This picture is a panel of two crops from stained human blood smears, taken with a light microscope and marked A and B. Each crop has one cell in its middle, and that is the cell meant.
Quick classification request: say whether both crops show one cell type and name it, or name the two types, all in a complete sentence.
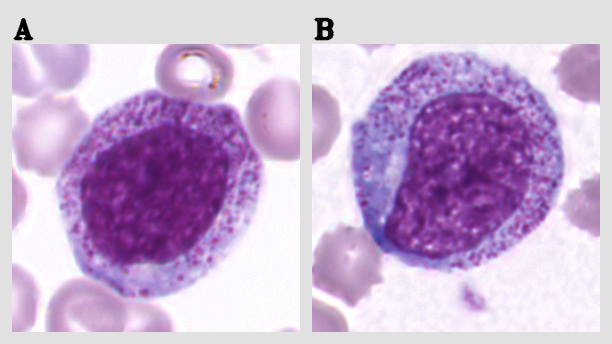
Yes, the cells in the centres of the two crops are promyelocytes.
